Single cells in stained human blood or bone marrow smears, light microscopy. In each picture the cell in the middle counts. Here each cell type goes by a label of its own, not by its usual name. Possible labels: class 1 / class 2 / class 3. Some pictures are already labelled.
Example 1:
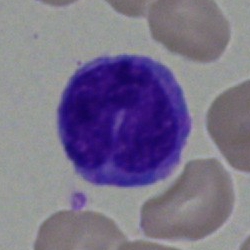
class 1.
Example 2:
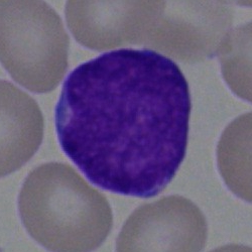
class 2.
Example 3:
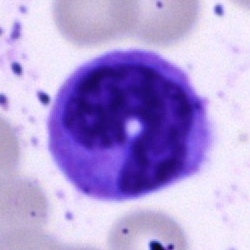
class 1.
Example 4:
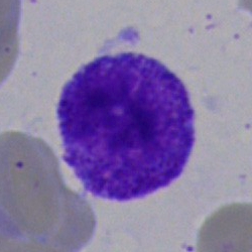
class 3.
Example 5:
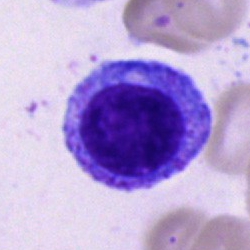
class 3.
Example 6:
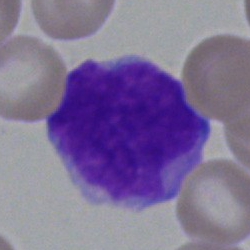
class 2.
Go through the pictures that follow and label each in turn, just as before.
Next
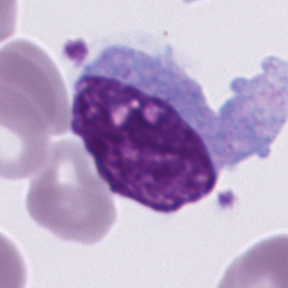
class 1.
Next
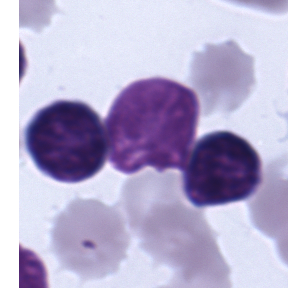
class 2.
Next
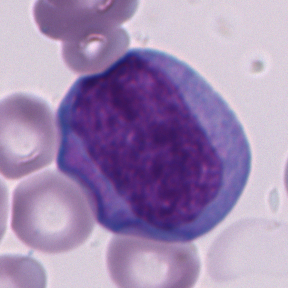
class 3.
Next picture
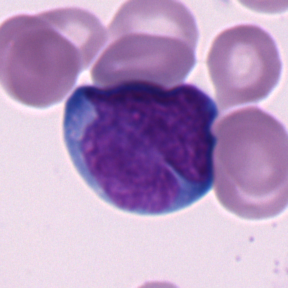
class 2.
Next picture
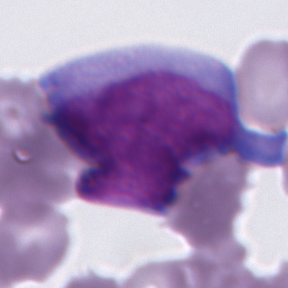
class 2.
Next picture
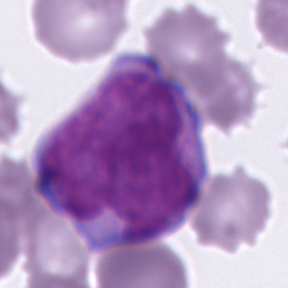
class 2.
